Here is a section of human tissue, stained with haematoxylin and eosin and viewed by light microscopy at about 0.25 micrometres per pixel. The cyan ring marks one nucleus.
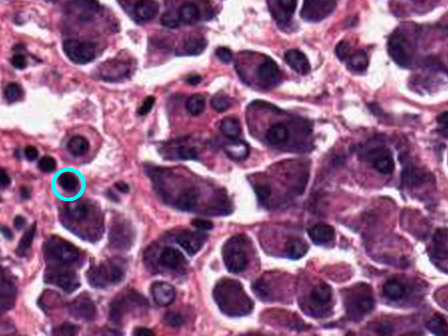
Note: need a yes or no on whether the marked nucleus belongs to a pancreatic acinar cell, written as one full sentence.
No, the marked nucleus, rather than belonging to a pancreatic acinar cell, belongs to a supporting cell.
